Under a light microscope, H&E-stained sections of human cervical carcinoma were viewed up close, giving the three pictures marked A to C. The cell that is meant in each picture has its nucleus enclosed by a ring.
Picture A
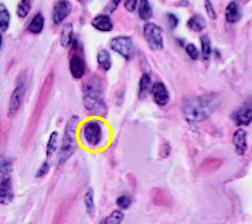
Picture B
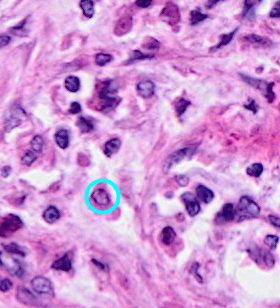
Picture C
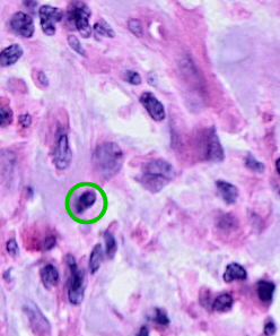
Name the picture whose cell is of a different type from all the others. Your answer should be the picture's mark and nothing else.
B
